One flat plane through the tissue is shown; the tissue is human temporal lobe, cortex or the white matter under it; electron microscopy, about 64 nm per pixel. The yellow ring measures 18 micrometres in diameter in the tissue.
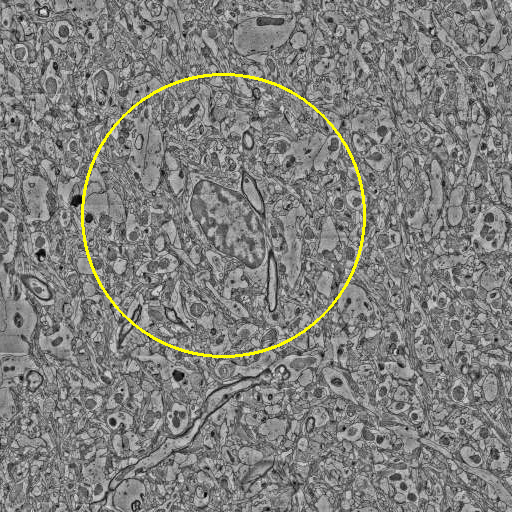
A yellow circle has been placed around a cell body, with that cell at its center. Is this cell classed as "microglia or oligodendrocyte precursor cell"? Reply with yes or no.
Yes, it belongs to that class.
